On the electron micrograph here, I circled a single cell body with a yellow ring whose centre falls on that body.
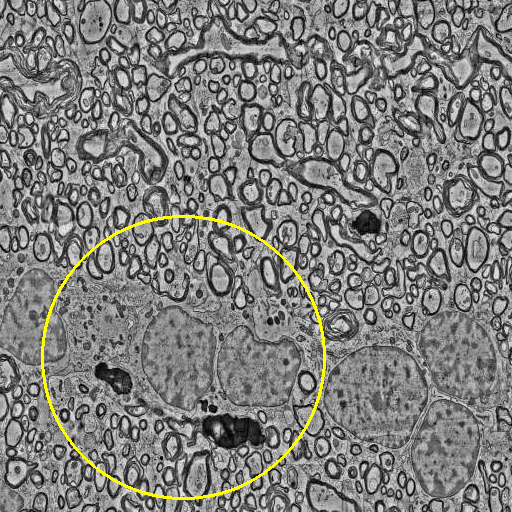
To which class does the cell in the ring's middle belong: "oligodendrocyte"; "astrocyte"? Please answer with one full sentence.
In this picture, the cell body circled at the ring's centre belongs to an oligodendrocyte.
